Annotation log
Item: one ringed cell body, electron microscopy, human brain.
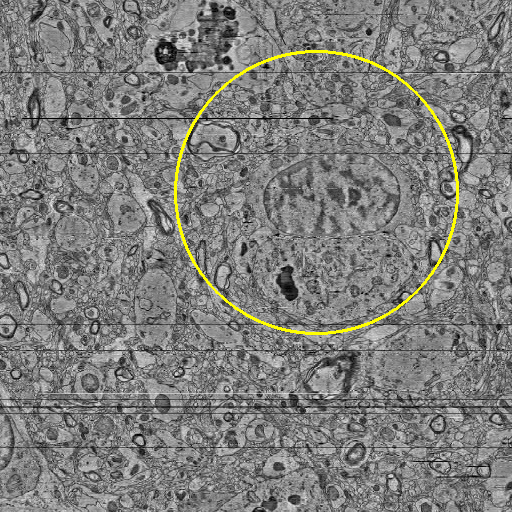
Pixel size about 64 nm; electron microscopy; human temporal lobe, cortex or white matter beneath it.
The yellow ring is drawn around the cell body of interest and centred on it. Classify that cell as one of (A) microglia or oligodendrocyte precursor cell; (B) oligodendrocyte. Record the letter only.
B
